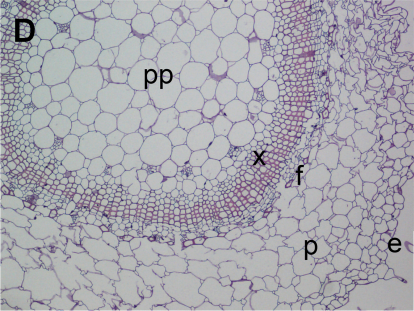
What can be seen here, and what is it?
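This is part of a stem cross-section. In the upper left, large rounded thin-walled pith parenchyma cells form the core, getting smaller toward the edge. Curving across the middle is a continuous band of vascular tissue: the xylem is made of small cells lined up in radial rows, with walls stained a deeper pinkish purple, and just outside it lies the phloem, a narrow zone of small crowded cells. Beyond that the parenchyma is loosely packed, with rounded cells and air spaces, and at the lower right edge a thin layer of small cells forms the epidermis.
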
